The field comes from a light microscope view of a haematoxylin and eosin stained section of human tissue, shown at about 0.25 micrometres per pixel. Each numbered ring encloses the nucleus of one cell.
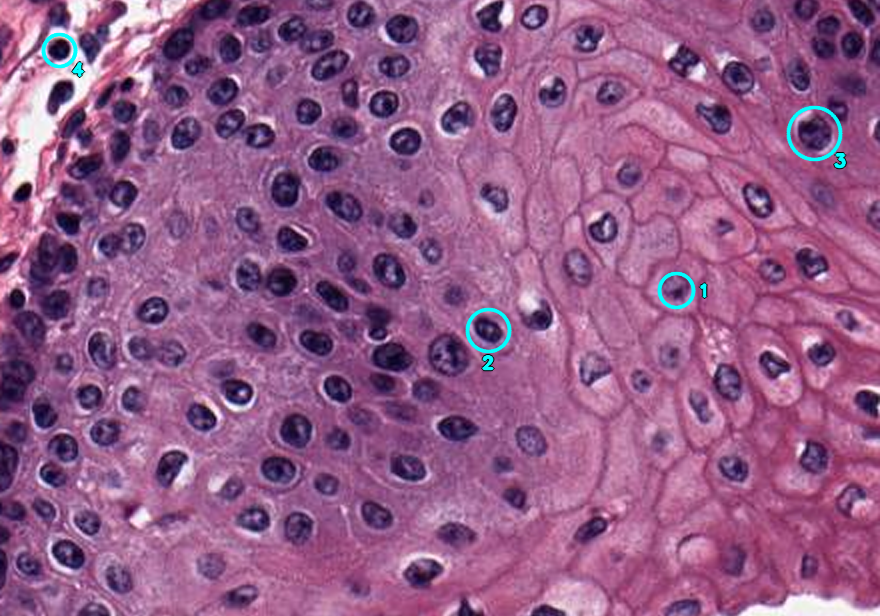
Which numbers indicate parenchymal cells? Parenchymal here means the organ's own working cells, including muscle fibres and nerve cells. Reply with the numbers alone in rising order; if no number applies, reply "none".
1, 2, 3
